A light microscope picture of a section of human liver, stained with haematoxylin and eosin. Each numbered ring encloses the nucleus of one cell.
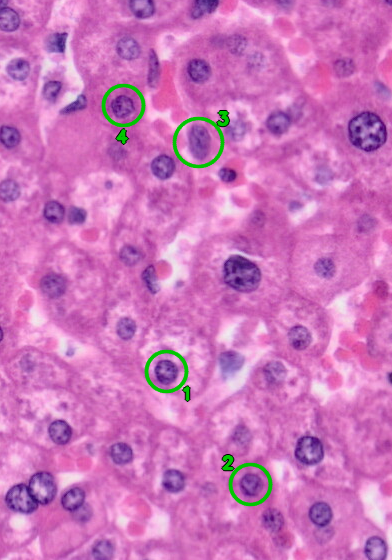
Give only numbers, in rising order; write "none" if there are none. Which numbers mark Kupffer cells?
3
